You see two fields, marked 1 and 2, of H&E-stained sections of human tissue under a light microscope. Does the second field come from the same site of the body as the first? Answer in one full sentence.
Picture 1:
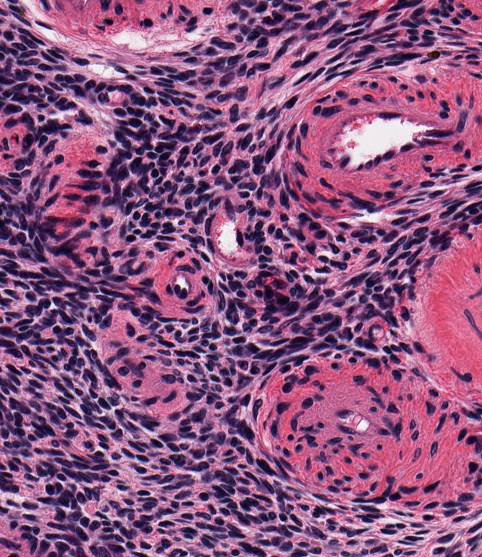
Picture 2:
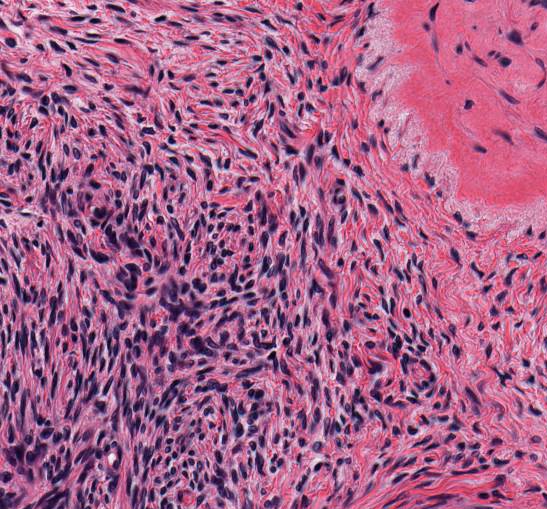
Yes; both pictures come from the ovary.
